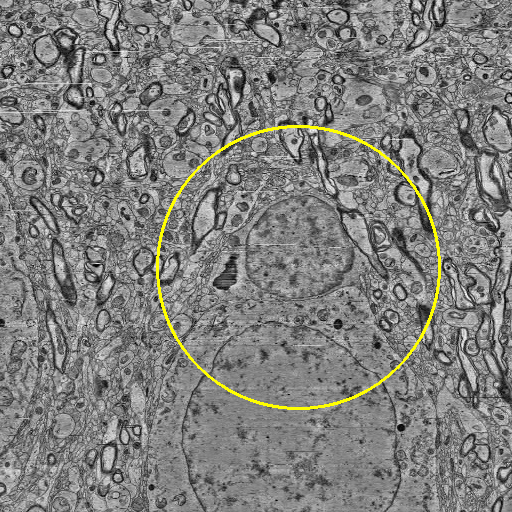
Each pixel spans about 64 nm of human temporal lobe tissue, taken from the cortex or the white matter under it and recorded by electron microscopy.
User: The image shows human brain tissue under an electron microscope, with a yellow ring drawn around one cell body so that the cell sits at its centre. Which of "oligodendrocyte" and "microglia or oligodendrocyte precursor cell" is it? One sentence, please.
At the centre of the ring sits an oligodendrocyte.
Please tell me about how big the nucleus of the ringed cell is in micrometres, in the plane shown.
Roughly 7 micrometers across in this plane.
